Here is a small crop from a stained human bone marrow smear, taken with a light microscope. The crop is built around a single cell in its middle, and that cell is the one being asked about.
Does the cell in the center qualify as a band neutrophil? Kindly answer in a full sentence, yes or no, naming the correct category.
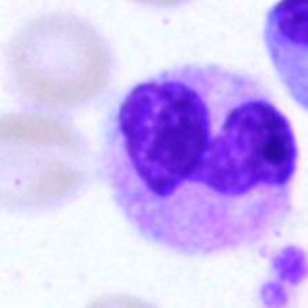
No, at the centre of this crop is found a segmented neutrophil instead of a band neutrophil.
